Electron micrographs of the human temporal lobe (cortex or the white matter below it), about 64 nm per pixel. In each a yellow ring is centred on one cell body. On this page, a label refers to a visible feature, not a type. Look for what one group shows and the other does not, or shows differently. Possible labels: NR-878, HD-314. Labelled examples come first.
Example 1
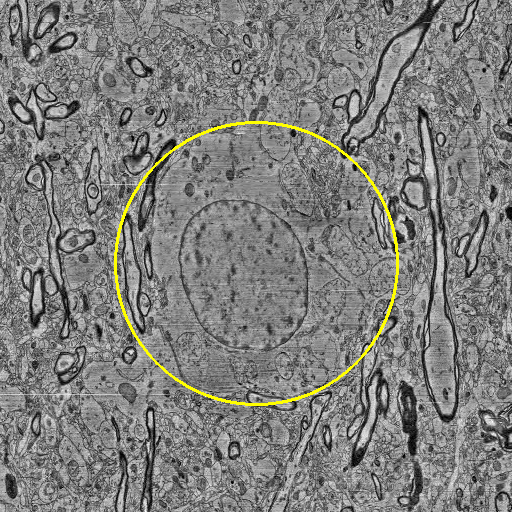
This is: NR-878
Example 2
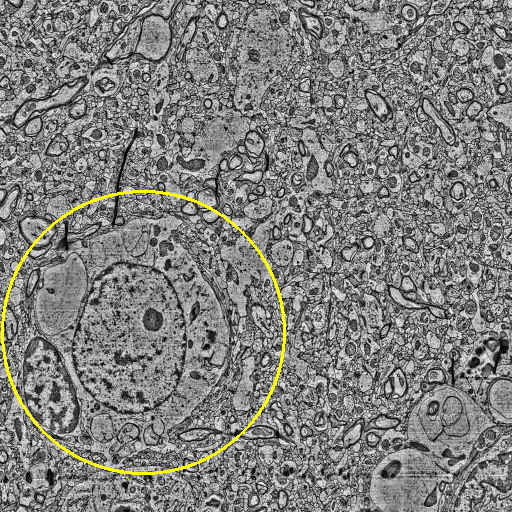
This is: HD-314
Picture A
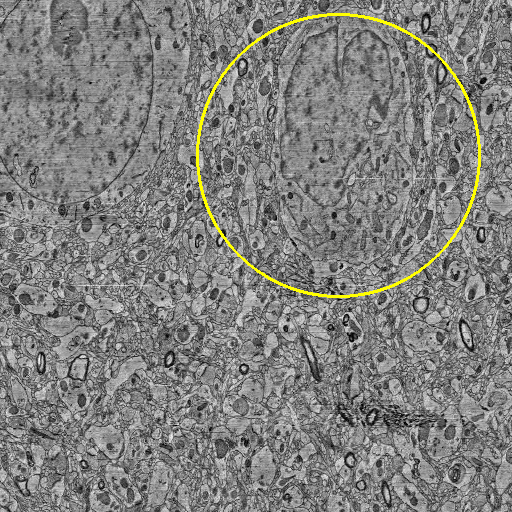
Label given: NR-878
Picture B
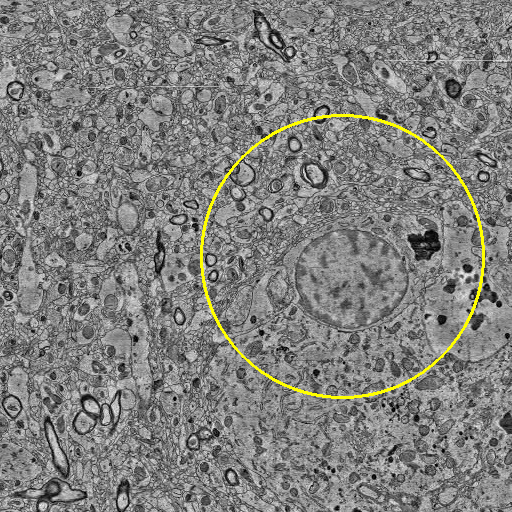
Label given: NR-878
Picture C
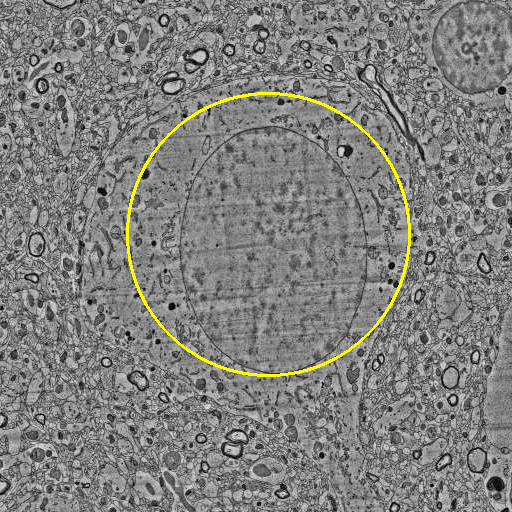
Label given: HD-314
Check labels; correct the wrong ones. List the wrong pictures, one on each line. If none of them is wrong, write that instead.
C: NR-878, not HD-314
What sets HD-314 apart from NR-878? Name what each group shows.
Seen in HD-314: nucleolus seen; seen in NR-878: no nucleolus seen.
